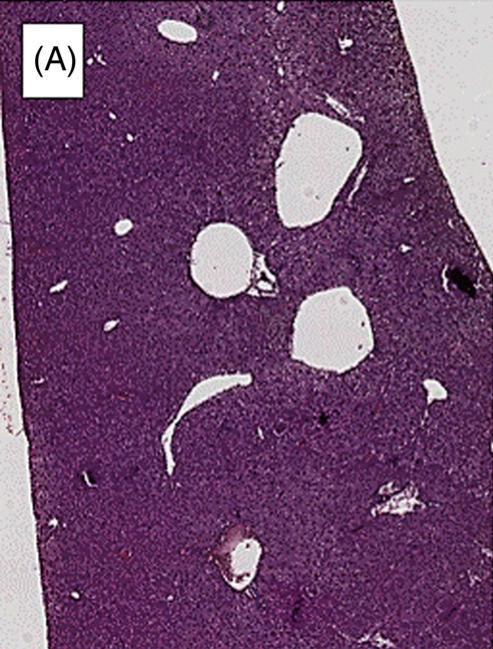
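This is a low-magnification section of liver with a uniformly stained purple parenchyma. Several large round and elongated vessel lumina appear as white holes, with many smaller vessels scattered through the tissue. There are no pale vacuolated areas, so the tissue shows no steatosis. The parenchyma looks even and compact throughout.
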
